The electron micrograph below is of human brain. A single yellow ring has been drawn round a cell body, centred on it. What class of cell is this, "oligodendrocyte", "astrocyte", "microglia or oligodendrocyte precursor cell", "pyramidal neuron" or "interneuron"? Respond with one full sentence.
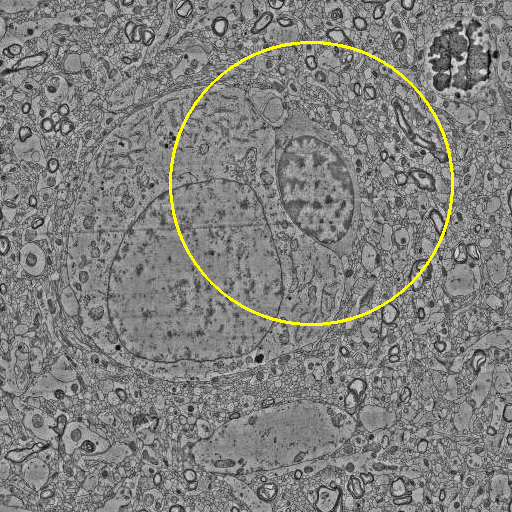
In the micrograph, the cell centred inside the yellow ring is an oligodendrocyte.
